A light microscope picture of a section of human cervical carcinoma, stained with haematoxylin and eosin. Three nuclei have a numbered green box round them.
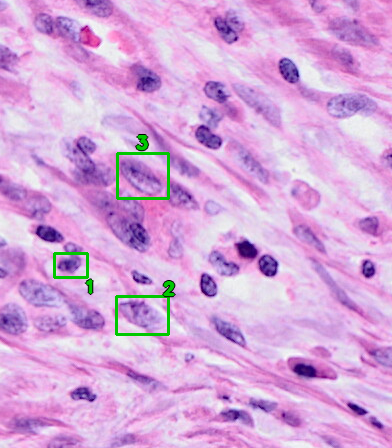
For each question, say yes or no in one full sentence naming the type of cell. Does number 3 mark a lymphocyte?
No, the one with number 3 is an endothelial cell, not a lymphocyte.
